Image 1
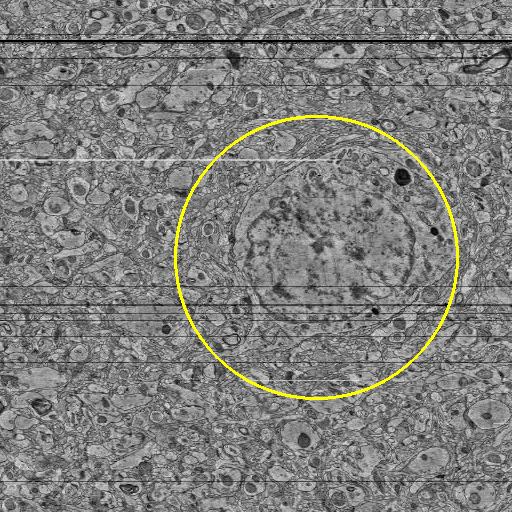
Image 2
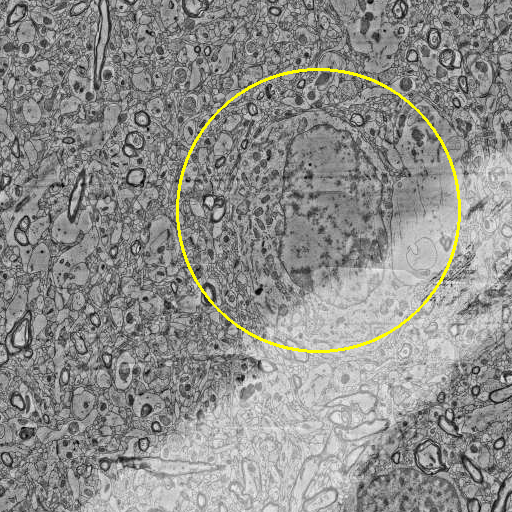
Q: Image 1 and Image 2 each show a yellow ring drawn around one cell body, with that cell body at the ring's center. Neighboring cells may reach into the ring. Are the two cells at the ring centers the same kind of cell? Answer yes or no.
yes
